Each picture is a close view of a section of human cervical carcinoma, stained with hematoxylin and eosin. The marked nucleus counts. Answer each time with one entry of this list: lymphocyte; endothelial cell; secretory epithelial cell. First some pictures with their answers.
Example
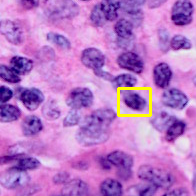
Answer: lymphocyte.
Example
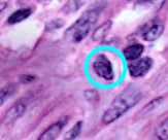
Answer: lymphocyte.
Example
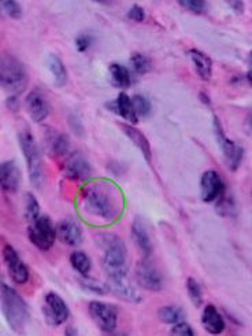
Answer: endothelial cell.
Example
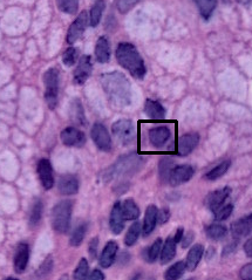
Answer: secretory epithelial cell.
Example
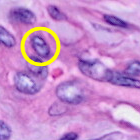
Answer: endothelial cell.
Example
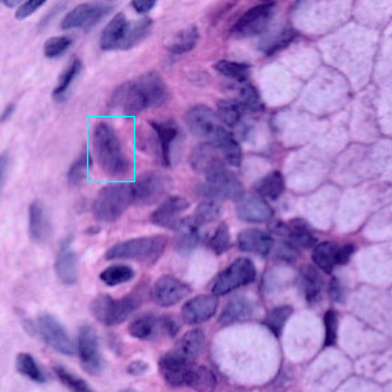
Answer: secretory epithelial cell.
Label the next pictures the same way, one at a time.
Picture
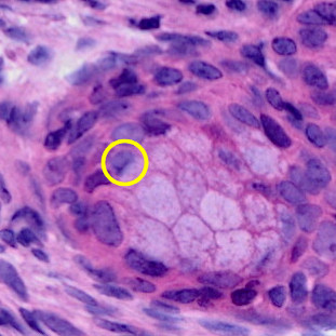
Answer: secretory epithelial cell.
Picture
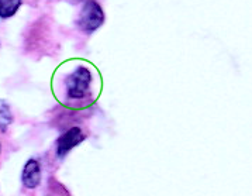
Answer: lymphocyte.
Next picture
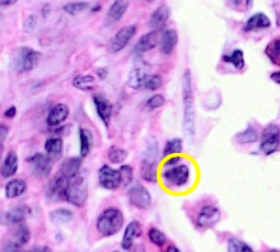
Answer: lymphocyte.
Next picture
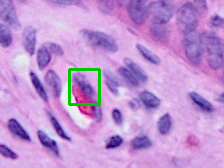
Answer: endothelial cell.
